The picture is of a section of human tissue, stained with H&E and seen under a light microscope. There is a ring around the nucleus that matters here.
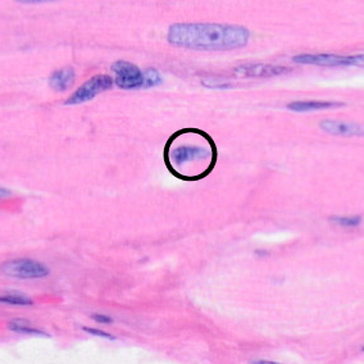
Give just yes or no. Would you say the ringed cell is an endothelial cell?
yes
